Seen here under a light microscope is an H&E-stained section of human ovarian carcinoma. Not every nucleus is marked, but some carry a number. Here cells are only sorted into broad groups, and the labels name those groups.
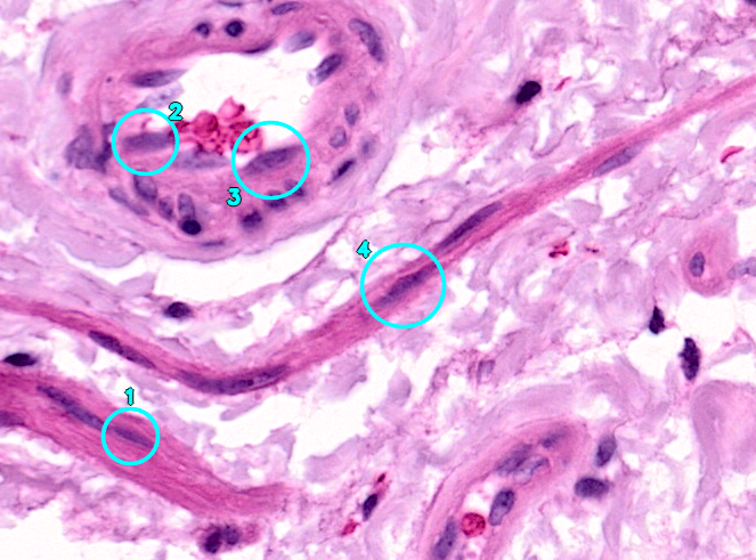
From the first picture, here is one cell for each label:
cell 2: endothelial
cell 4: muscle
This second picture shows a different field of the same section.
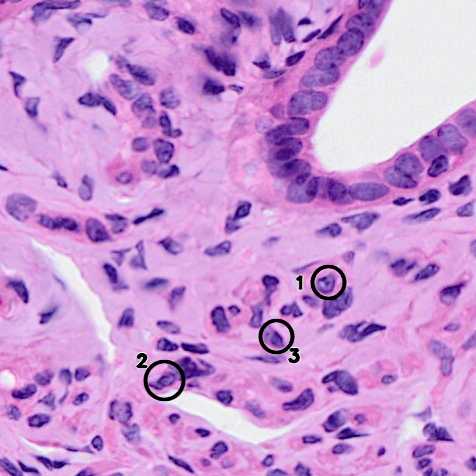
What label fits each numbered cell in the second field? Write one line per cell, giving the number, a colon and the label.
1: endothelial
2: endothelial
3: muscle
